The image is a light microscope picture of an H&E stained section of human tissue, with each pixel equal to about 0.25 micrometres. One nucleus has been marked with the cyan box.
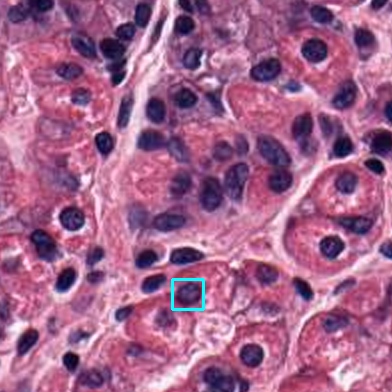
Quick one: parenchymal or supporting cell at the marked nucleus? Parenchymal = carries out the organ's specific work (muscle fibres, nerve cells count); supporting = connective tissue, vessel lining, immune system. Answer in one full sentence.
The marked nucleus is that of a parietal cell, which is a parenchymal cell.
